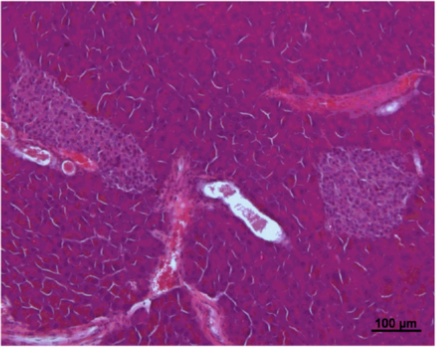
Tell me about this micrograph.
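Two pancreatic islets appear as rounded, paler pink clusters of endocrine cells set within the darker, densely packed exocrine acinar tissue. The islet cells have small round nuclei spread evenly through light cytoplasm, while blood vessels and small ducts lie in thin connective tissue nearby.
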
